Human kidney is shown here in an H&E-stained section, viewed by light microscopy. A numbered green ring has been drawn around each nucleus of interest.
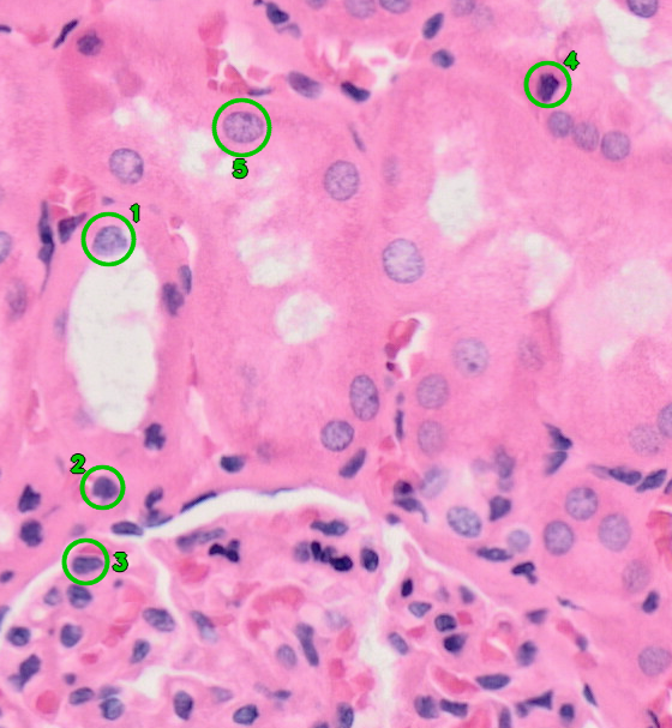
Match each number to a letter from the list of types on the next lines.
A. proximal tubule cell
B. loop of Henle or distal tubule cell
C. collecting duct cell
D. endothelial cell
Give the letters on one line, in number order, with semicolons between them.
B; D; D; A; A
